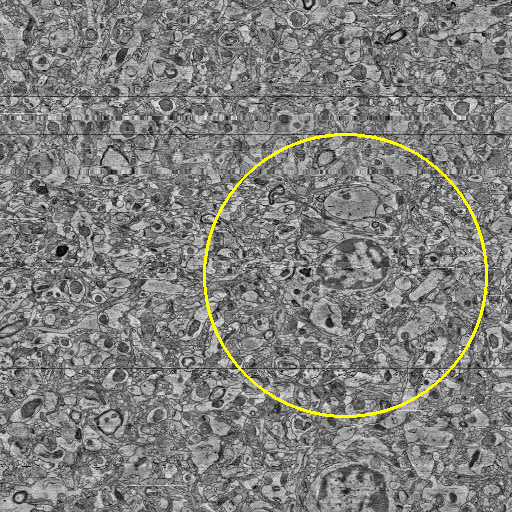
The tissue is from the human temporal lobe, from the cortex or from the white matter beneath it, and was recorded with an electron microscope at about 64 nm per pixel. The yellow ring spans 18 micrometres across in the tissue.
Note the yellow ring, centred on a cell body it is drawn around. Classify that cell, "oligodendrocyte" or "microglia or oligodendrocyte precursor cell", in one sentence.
The cell the ring is centred on is a microglial cell or oligodendrocyte precursor cell.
